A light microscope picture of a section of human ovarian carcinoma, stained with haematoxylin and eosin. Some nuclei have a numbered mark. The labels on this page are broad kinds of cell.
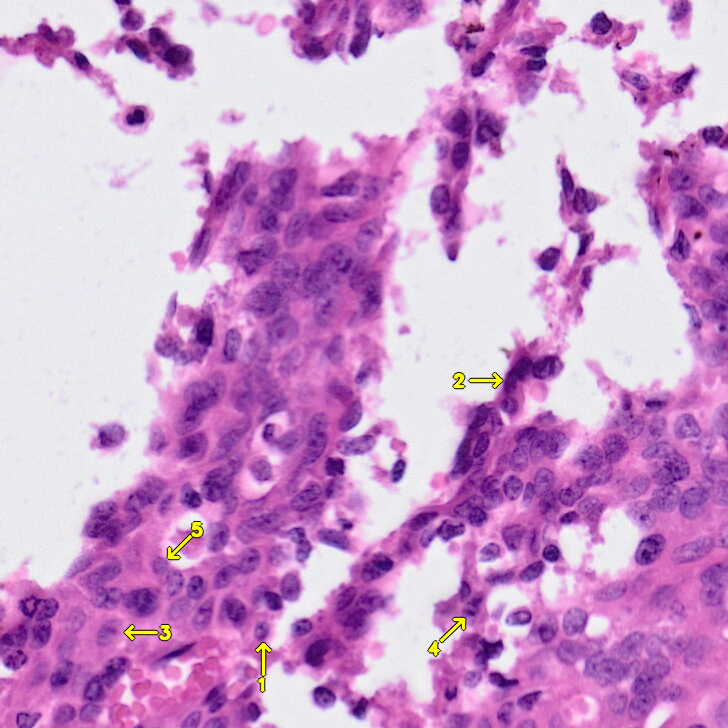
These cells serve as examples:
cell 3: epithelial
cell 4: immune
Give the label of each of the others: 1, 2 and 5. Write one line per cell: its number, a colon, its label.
1: immune
2: epithelial
5: epithelial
